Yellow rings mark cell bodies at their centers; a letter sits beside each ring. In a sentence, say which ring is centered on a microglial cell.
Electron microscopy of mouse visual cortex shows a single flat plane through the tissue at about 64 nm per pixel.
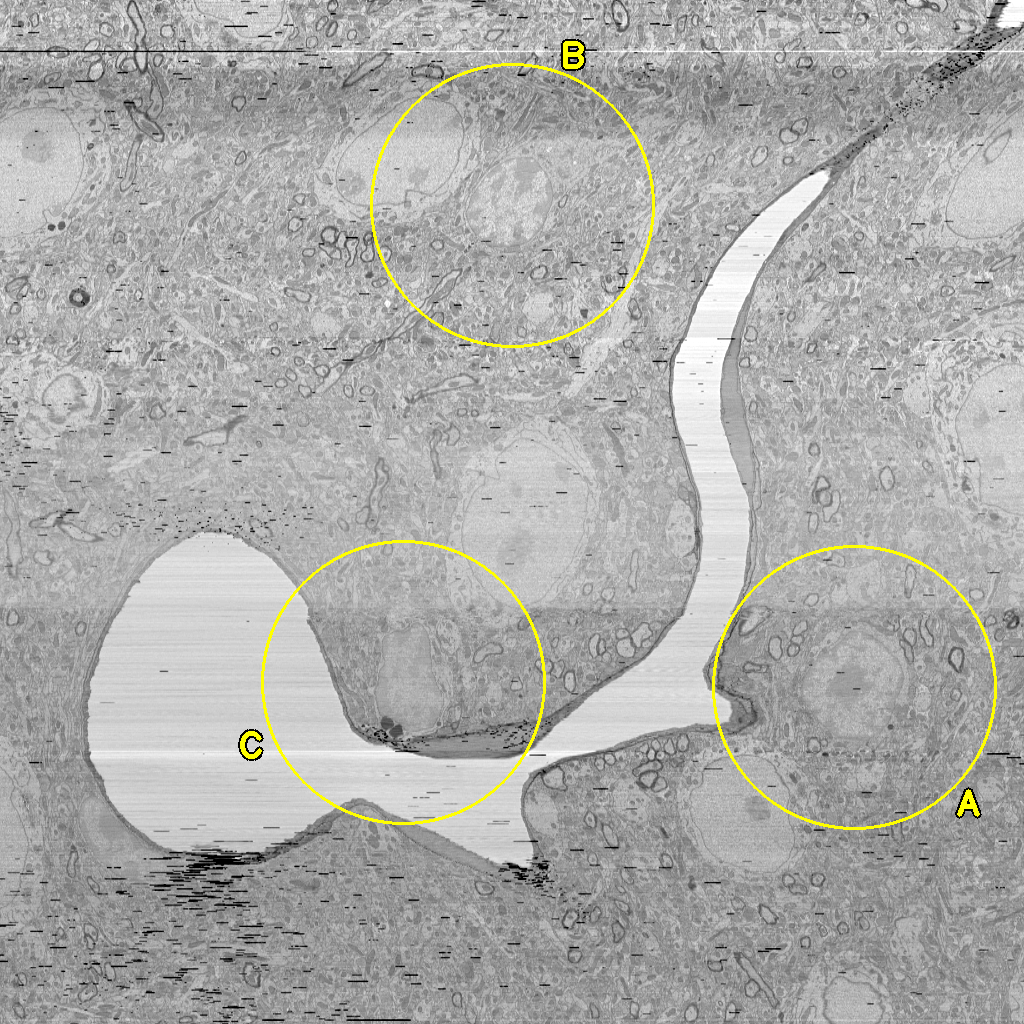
It is ring C.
